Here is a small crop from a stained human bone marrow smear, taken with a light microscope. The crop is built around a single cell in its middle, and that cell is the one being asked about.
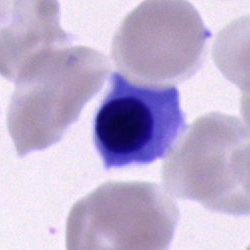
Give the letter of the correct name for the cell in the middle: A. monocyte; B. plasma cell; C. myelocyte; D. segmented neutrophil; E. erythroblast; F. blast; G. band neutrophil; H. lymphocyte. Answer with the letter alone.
E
